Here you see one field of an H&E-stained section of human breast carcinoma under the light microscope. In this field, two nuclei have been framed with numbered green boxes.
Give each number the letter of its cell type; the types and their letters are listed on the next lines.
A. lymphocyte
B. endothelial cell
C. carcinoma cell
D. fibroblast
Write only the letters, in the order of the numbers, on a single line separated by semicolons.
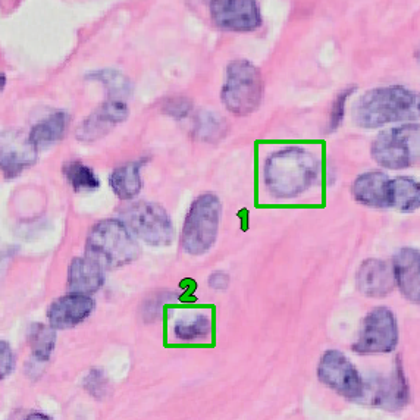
C; B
